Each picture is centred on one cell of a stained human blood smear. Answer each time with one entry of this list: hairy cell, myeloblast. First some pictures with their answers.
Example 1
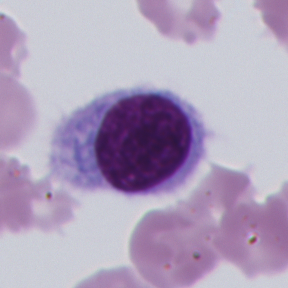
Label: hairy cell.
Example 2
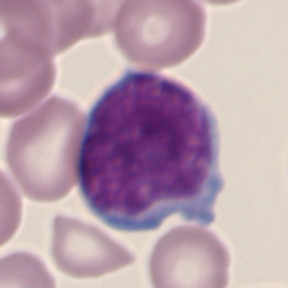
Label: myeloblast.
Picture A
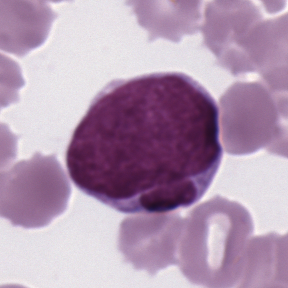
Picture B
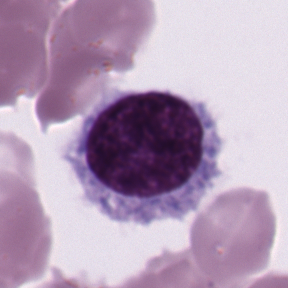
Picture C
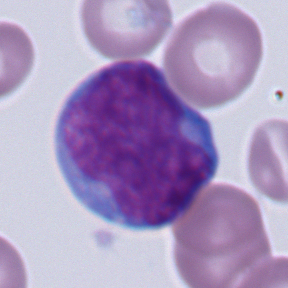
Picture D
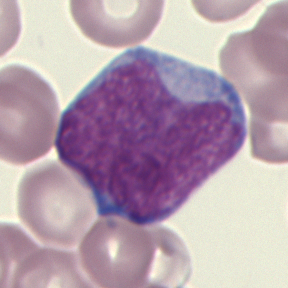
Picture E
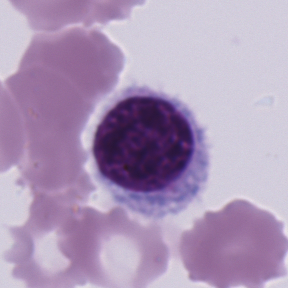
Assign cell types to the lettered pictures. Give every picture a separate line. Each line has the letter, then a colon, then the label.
A: myeloblast.
B: hairy cell.
C: myeloblast.
D: myeloblast.
E: hairy cell.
